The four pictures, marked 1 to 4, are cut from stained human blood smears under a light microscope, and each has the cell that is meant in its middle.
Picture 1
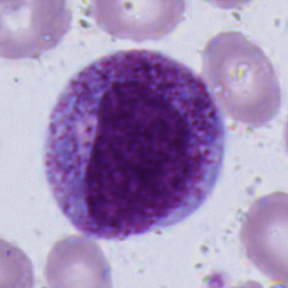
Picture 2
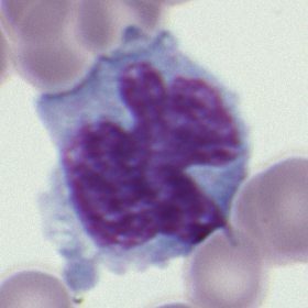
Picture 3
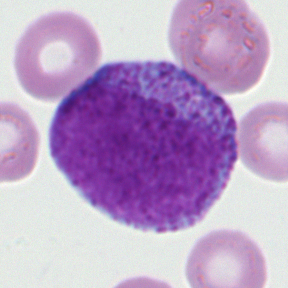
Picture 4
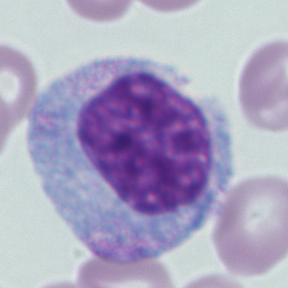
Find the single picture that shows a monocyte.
2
